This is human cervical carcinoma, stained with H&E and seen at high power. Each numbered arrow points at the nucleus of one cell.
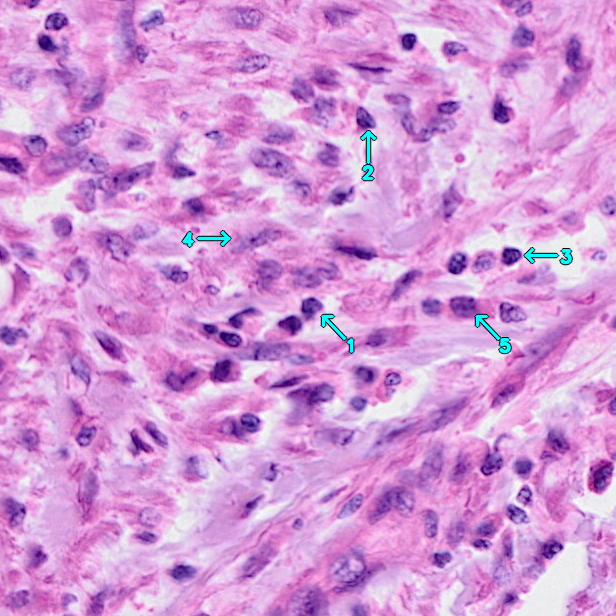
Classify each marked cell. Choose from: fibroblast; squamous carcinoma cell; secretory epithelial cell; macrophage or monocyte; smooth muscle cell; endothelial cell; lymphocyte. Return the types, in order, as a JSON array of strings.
["lymphocyte", "lymphocyte", "lymphocyte", "fibroblast", "macrophage or monocyte"]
